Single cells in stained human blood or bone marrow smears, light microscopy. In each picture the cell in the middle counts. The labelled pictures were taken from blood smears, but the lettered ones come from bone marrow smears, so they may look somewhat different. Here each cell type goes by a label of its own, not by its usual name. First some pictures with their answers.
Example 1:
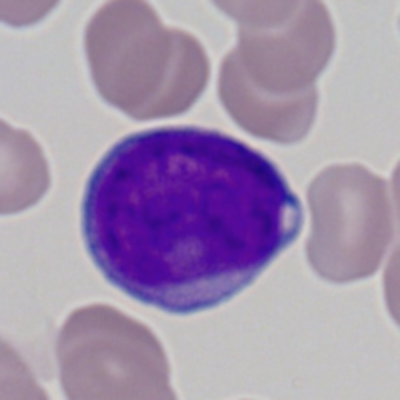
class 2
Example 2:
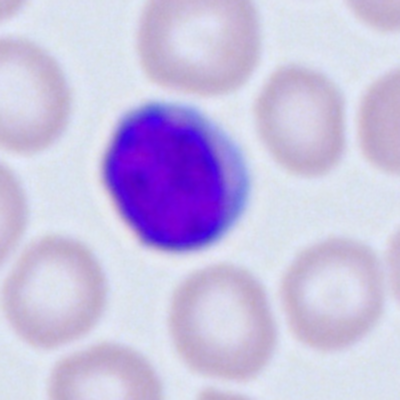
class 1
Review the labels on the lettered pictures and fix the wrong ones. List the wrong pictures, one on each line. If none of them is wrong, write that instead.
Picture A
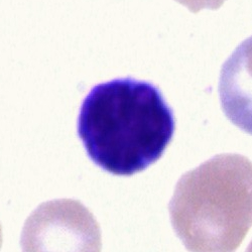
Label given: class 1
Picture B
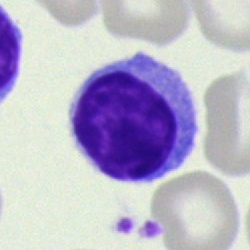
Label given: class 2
Wrong: B (class 2); correct: class 1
